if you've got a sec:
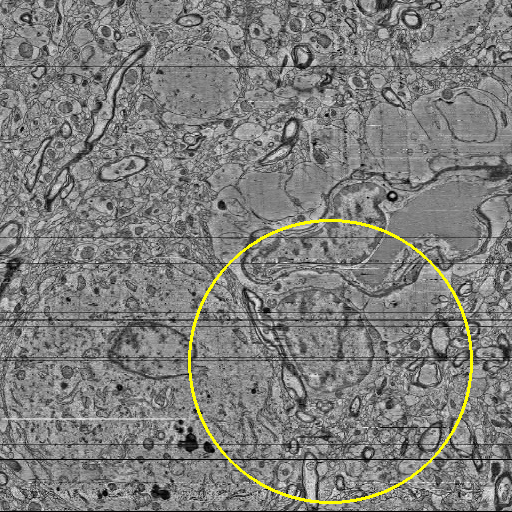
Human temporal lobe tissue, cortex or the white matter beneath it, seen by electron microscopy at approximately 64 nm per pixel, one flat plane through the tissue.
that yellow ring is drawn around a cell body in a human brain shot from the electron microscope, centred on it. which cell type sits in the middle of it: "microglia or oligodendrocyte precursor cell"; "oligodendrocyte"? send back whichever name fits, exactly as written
oligodendrocyte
